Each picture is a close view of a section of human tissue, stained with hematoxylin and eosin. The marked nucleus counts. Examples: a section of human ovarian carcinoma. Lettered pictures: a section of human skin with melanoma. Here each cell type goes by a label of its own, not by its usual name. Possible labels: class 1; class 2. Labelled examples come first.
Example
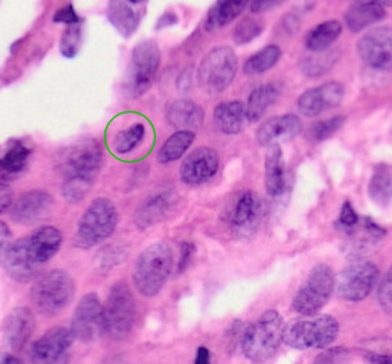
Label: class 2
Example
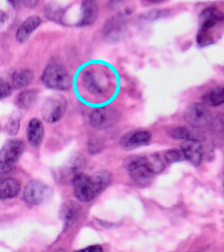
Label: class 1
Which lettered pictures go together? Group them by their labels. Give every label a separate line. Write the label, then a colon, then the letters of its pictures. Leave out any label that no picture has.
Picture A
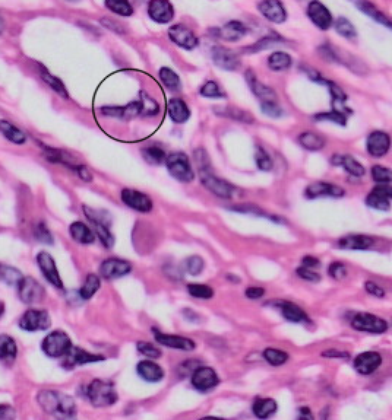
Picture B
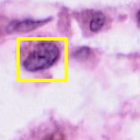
class 1: A
class 2: B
